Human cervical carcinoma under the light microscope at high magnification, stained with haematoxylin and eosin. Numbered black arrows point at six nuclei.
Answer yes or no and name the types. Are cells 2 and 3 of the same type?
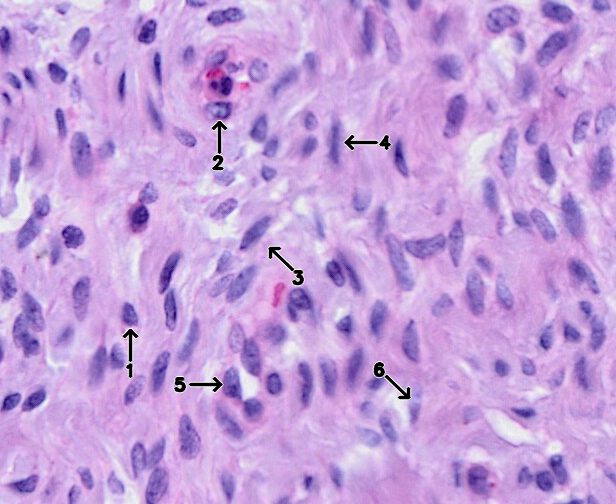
No, not so; cell 2 is an endothelial cell and cell 3 is a fibroblast.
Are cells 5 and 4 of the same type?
No, cell 5 is an endothelial cell, while cell 4 is a fibroblast.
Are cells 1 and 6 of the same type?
Yes, cells 1 and 6 both belong among the fibroblasts.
